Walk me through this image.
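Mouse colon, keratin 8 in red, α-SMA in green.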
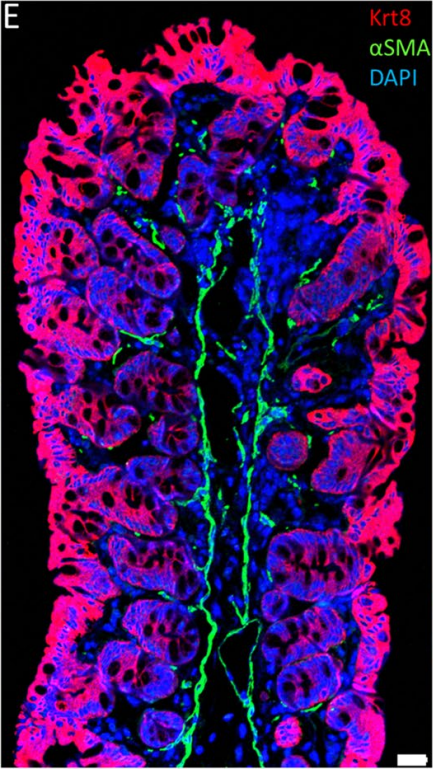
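This is a long section of intestinal mucosa forming a finger-like projection, lined on its surface by a red epithelium. Many rounded glands cut in cross-section lie beneath the surface, each with red-stained epithelial cells and blue nuclei. A central core of connective tissue, crowded with blue nuclei, runs the length of the projection and contains thin green strands running lengthwise.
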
